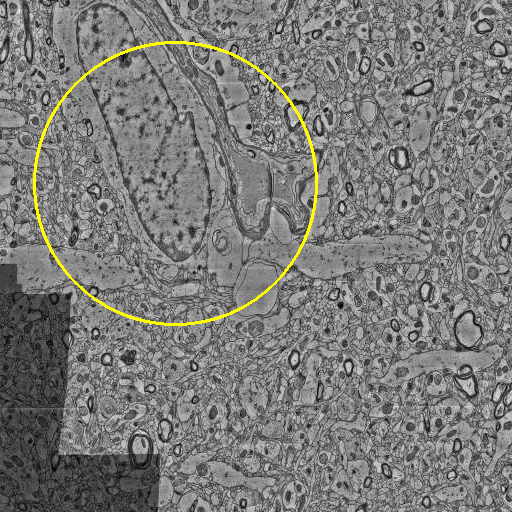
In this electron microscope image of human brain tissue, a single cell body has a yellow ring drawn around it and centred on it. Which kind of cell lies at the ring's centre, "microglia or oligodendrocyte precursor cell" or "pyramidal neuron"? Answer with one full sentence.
It is a microglial cell or oligodendrocyte precursor cell whose cell body lies at the centre of the yellow ring here.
